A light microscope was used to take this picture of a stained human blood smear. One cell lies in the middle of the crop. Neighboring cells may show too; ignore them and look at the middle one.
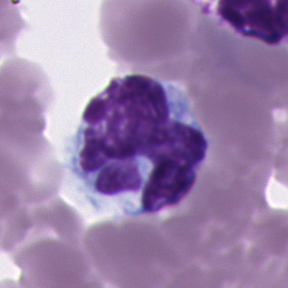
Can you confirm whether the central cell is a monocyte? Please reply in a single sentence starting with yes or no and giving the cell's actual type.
Yes, a monocyte occupies the middle of the crop.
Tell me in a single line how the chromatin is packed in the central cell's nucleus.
Answer: the chromatin in this nucleus is coarsely clumped.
